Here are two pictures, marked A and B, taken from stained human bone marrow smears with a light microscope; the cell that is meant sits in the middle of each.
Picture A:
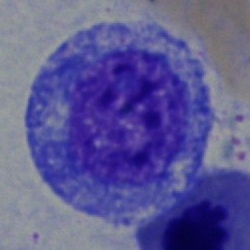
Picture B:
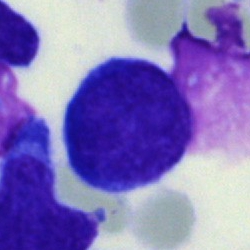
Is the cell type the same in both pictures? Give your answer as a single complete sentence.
No; the cell in picture A is a promyelocyte, while the one in picture B is a blast.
